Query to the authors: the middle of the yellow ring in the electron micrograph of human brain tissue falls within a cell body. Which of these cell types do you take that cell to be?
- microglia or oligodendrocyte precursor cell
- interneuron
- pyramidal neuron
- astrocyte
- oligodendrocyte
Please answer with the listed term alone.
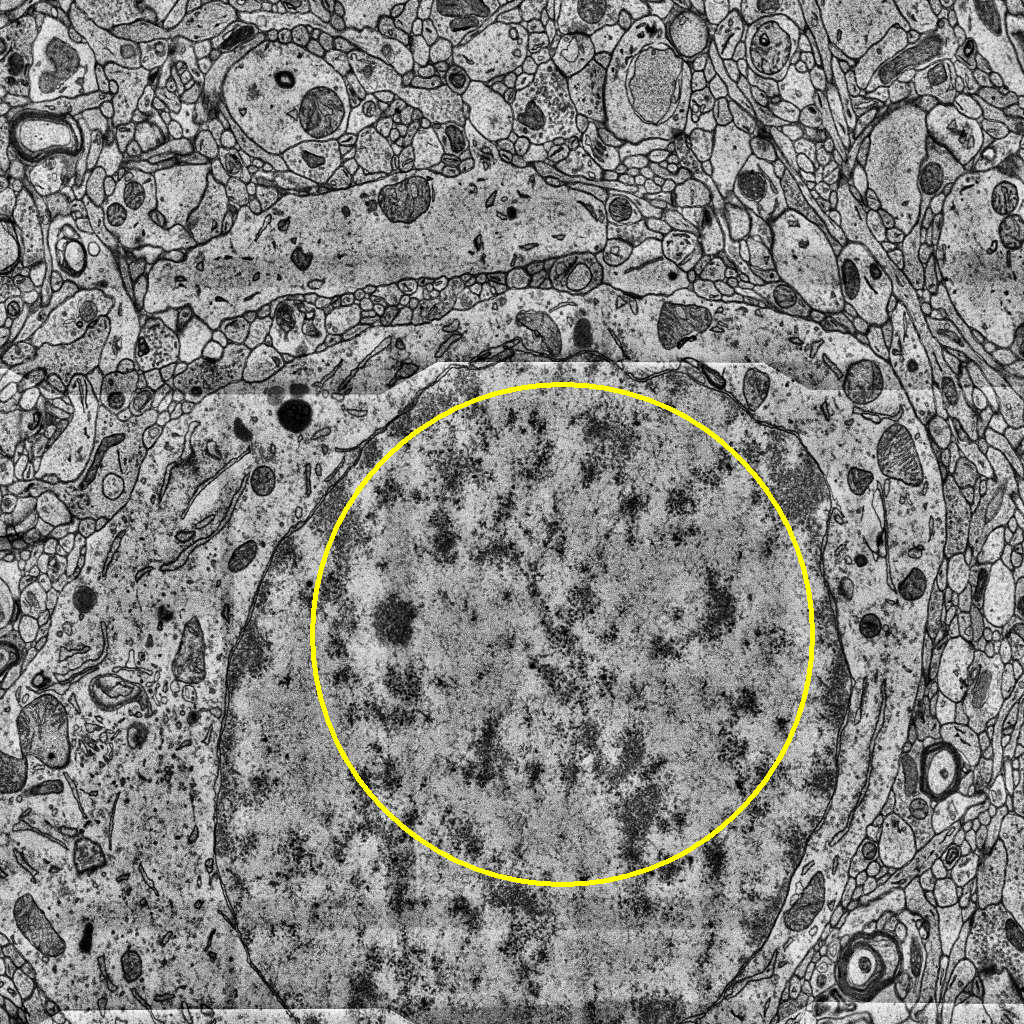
interneuron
